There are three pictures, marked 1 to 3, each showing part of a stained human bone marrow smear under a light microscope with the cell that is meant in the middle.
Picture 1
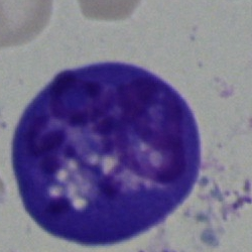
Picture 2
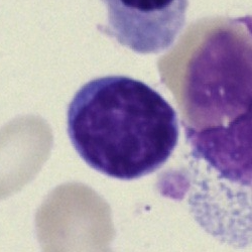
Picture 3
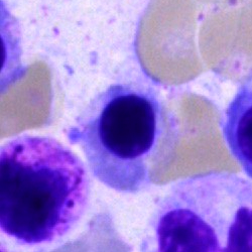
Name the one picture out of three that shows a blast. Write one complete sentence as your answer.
Picture 1 is the one that shows the blast.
